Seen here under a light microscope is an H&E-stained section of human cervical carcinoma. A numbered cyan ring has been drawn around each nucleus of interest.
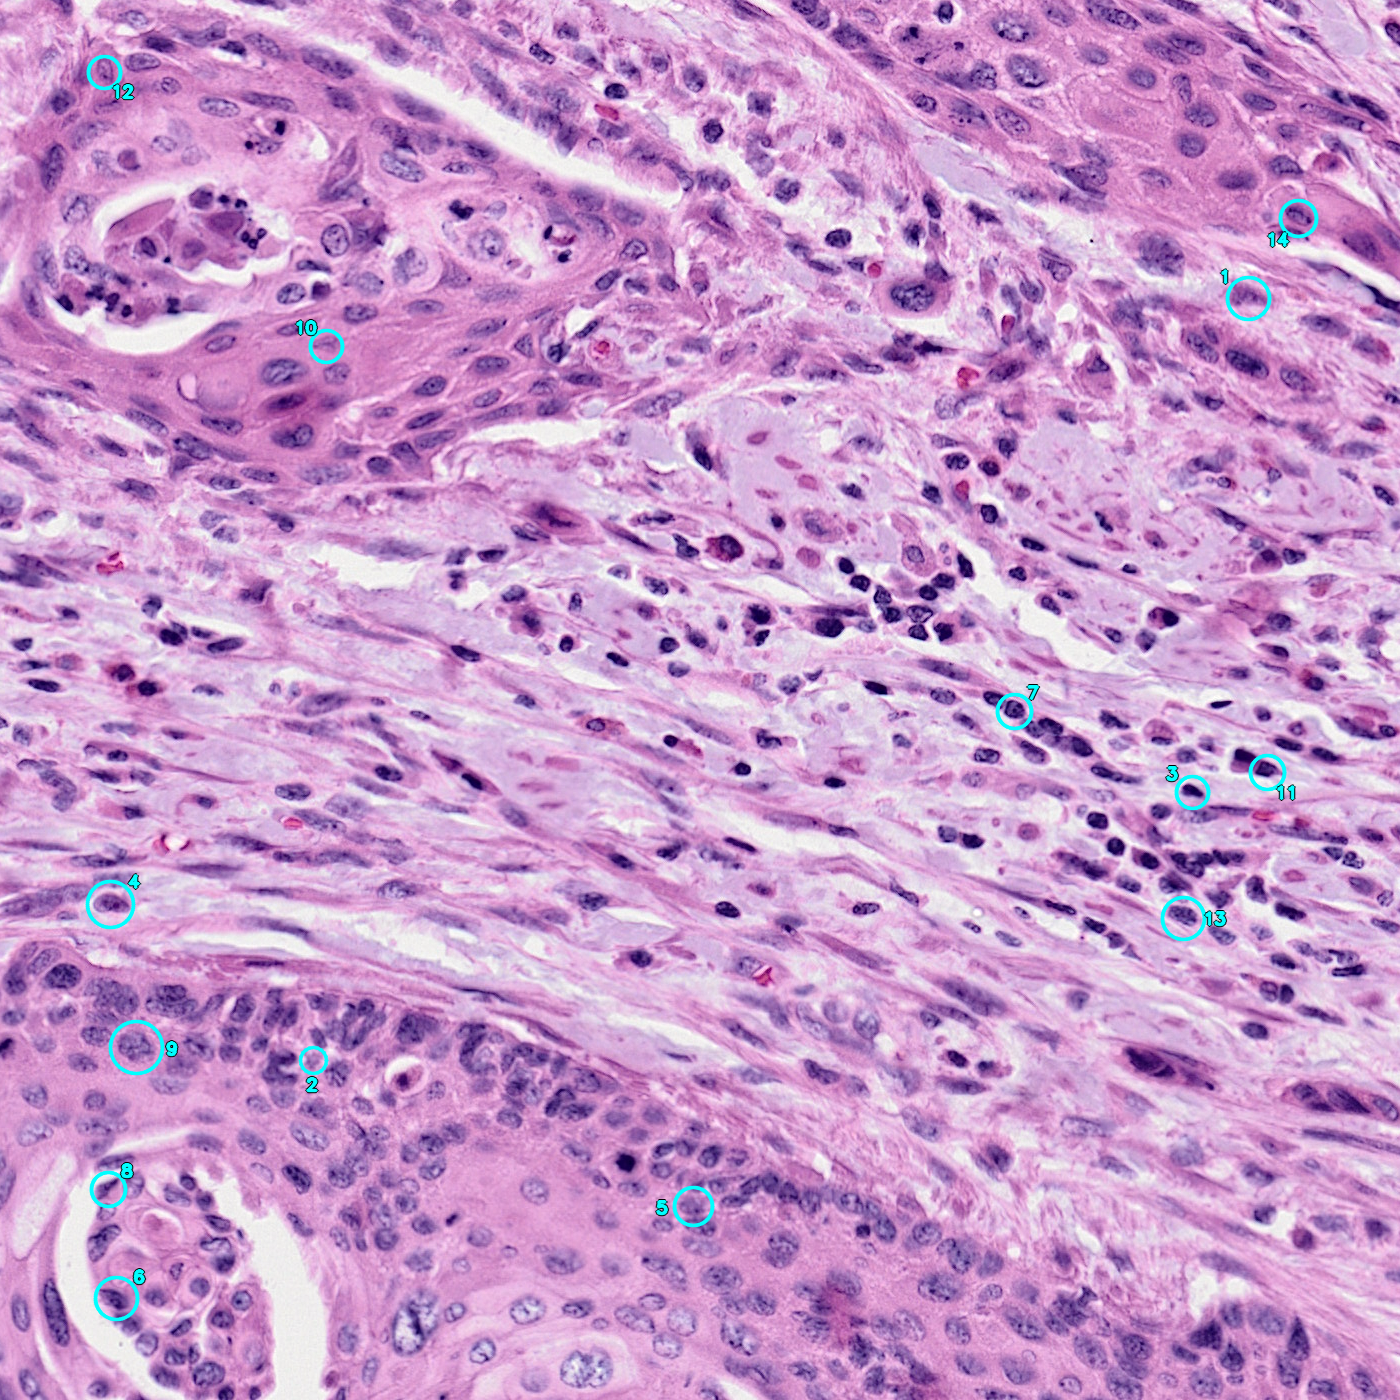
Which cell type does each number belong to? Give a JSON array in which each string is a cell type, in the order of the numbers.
["fibroblast", "squamous carcinoma cell", "lymphocyte", "macrophage or monocyte", "squamous carcinoma cell", "squamous carcinoma cell", "lymphocyte", "squamous carcinoma cell", "squamous carcinoma cell", "squamous carcinoma cell", "lymphocyte", "squamous carcinoma cell", "lymphocyte", "squamous carcinoma cell"]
